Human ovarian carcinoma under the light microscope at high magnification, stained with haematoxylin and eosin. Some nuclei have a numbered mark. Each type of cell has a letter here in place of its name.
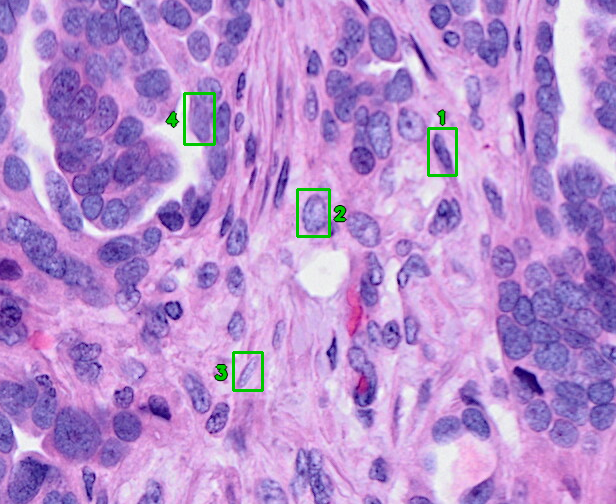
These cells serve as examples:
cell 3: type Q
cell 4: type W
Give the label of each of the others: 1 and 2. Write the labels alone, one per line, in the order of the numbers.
type Q
type Q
